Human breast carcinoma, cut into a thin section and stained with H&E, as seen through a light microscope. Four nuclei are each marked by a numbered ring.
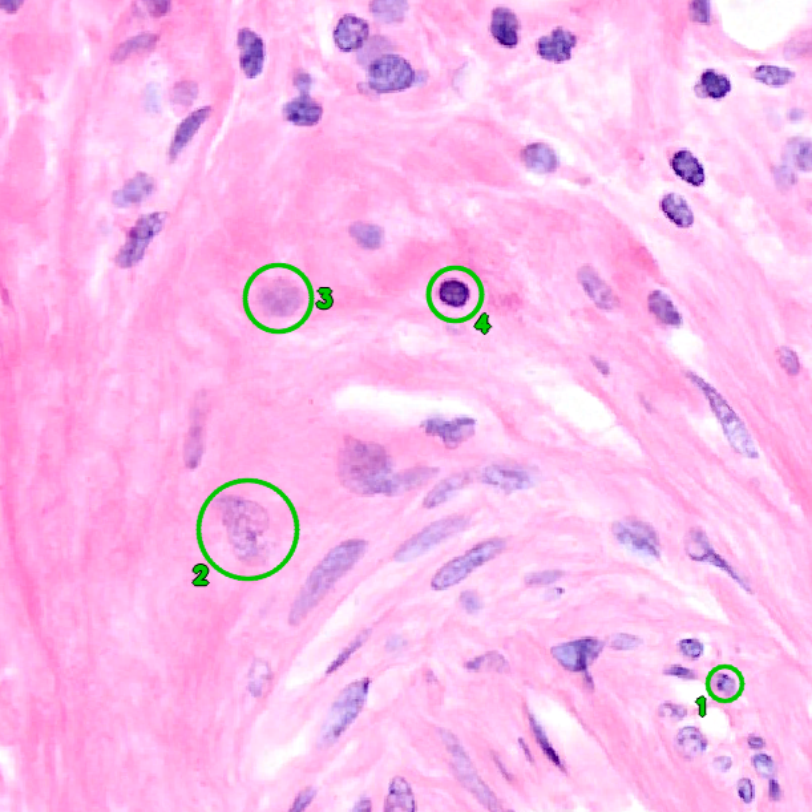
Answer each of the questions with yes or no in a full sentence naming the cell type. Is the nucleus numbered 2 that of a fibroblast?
Yes, in this section the cell with number 2 is a fibroblast.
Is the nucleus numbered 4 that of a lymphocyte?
Yes, the cell that number 4 points to is a lymphocyte.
